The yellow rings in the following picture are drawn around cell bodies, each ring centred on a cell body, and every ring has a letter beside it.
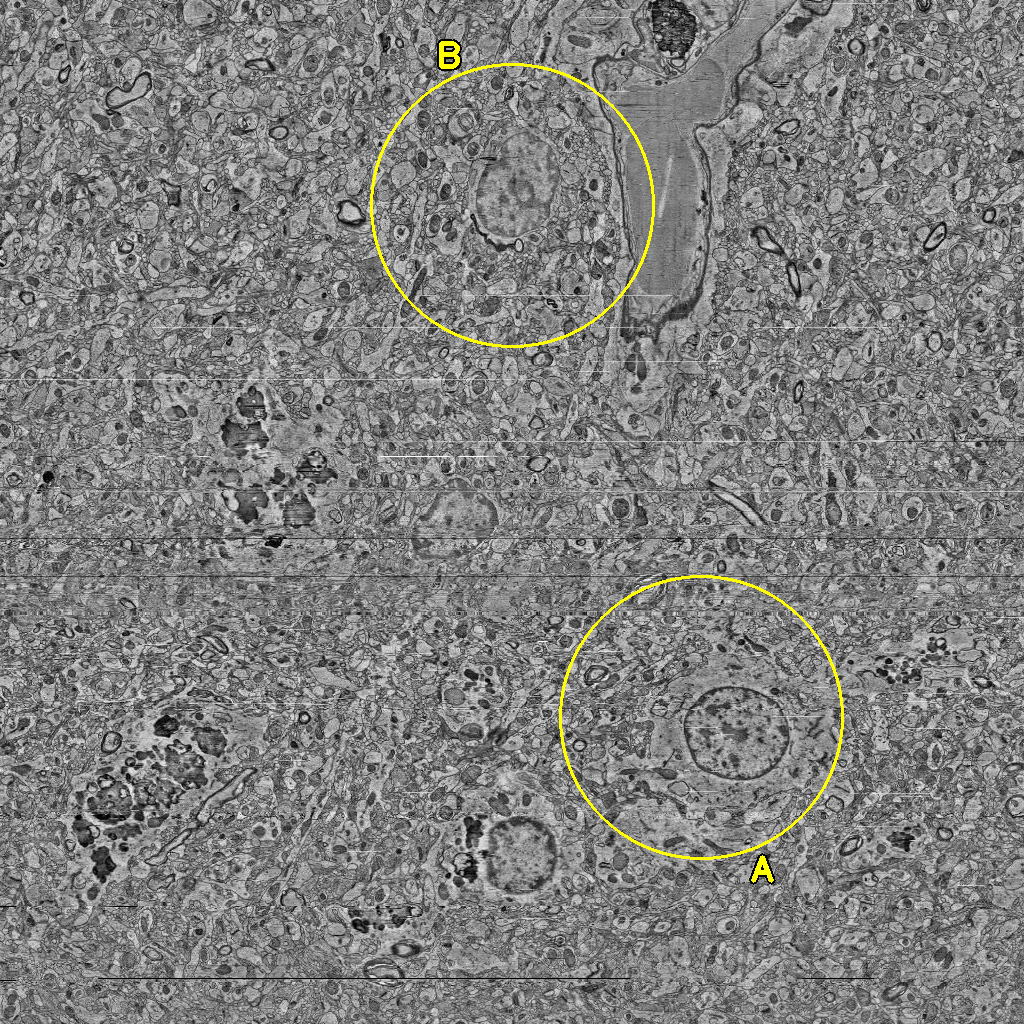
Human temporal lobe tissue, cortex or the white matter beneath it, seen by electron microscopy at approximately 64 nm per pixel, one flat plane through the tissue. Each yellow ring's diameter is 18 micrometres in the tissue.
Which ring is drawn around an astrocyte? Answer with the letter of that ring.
A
